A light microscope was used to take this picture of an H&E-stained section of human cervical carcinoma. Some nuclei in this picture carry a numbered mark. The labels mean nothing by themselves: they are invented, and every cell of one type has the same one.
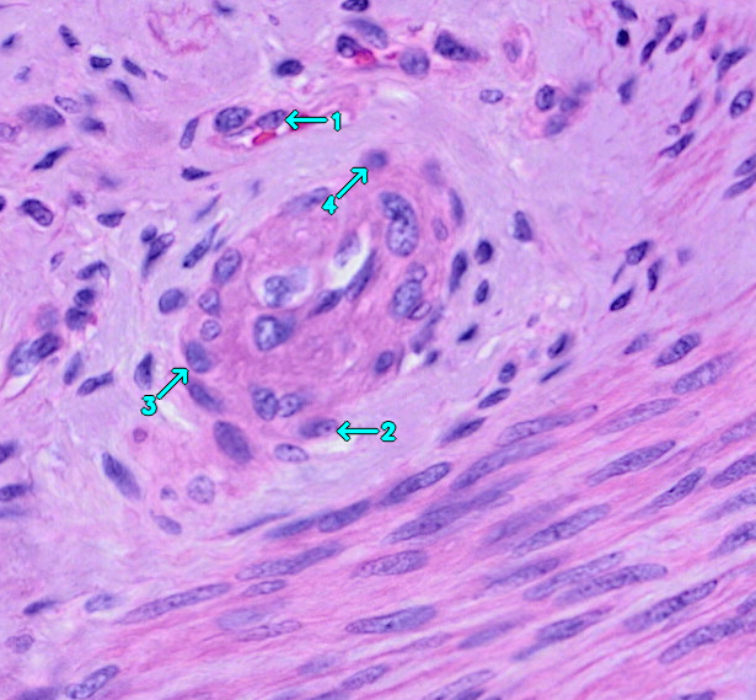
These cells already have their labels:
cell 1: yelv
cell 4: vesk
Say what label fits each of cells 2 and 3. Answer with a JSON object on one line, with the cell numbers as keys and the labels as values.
{"2": "vesk", "3": "vesk"}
